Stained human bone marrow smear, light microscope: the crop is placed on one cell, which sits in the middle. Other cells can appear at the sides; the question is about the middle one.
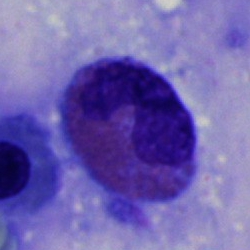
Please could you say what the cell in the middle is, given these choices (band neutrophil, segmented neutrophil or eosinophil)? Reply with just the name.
eosinophil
